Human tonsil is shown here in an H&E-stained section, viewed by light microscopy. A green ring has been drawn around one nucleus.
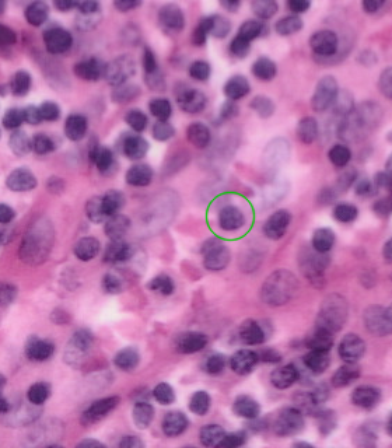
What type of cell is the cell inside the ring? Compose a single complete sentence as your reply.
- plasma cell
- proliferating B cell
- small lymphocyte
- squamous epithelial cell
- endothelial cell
Considered by cell type, the cell inside the ring is an endothelial cell.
